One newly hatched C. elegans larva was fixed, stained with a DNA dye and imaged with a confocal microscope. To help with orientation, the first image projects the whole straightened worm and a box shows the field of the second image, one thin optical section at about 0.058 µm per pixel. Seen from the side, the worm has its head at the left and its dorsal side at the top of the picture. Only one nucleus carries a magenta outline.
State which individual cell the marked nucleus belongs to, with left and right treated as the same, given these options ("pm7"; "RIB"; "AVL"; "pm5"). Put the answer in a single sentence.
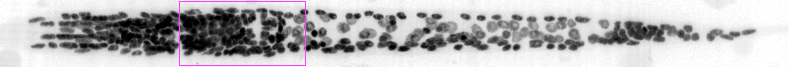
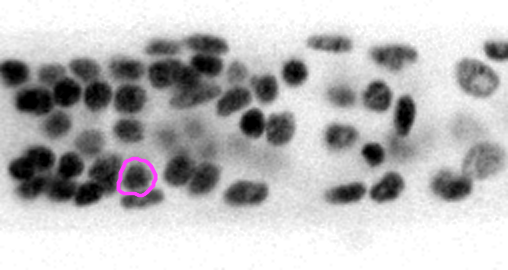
The marked nucleus belongs to AVL, a neuron.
